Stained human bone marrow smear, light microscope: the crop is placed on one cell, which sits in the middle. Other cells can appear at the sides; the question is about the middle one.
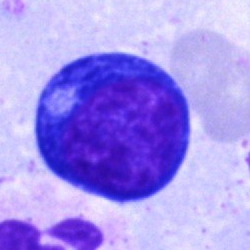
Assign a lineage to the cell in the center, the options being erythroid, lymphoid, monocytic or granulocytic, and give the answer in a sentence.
Regarding lineage, the cell in the center of this crop should be listed as erythroid.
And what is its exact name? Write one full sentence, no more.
The middle of this crop holds a proerythroblast.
